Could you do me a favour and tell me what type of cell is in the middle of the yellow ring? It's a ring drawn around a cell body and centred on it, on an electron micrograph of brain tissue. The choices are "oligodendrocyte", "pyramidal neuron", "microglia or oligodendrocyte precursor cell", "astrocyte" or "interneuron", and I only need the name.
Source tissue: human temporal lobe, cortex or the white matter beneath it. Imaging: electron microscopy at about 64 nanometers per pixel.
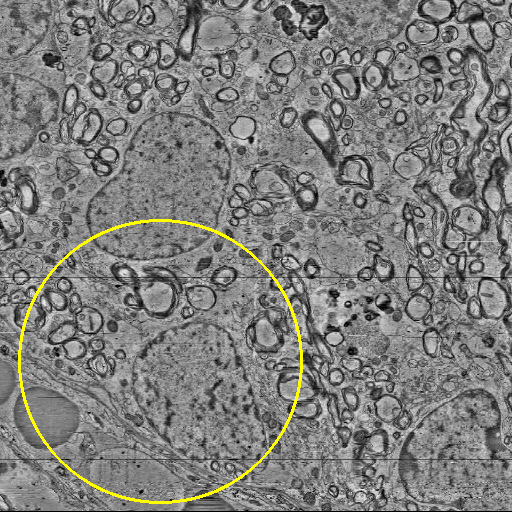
astrocyte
